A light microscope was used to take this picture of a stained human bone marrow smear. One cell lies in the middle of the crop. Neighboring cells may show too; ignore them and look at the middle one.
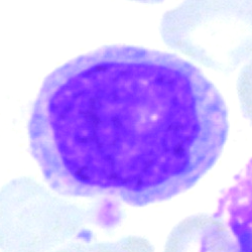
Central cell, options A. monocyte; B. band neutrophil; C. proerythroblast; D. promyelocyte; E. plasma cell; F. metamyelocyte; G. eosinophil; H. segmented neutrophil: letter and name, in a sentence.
Given that the cell in the middle is a monocyte, option A is correct.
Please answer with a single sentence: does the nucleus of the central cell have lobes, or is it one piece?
If you check the nucleus, you will find one compact mass, round, oval or kidney-shaped.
